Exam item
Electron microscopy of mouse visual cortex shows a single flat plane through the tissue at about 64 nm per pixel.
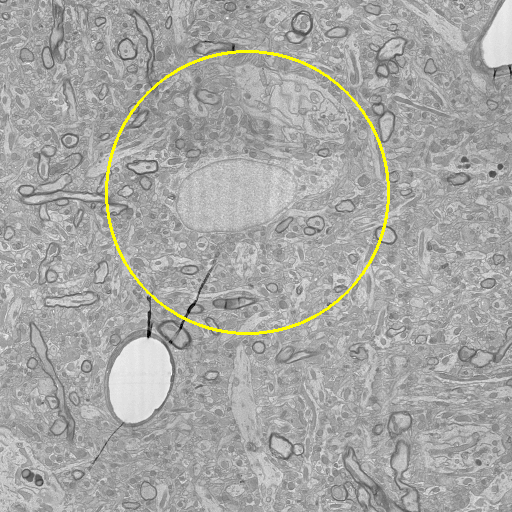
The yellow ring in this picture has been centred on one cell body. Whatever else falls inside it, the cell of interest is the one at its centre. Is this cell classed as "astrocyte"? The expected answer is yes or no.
yes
